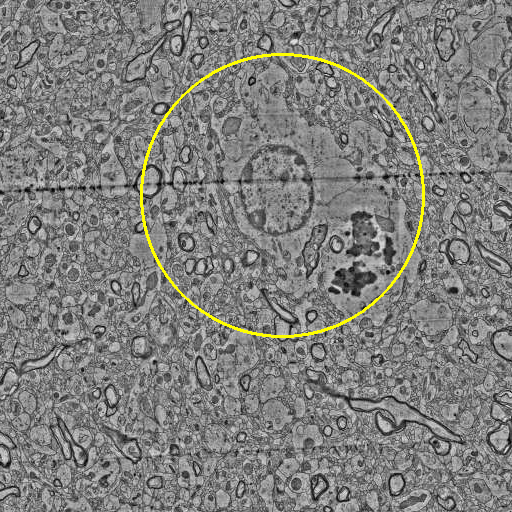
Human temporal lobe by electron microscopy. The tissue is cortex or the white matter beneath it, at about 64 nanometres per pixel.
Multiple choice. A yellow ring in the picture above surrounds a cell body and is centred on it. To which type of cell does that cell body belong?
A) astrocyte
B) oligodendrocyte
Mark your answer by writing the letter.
A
